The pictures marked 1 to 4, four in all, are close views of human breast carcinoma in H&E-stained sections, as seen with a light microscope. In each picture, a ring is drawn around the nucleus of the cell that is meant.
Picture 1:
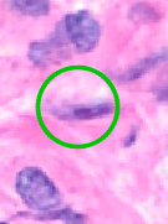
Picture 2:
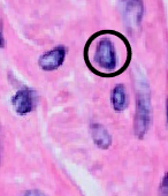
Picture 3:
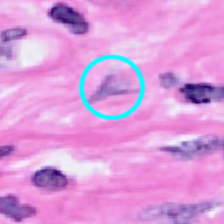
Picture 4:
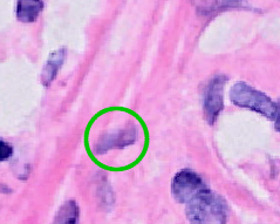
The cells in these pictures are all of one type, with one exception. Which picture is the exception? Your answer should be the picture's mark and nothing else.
2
